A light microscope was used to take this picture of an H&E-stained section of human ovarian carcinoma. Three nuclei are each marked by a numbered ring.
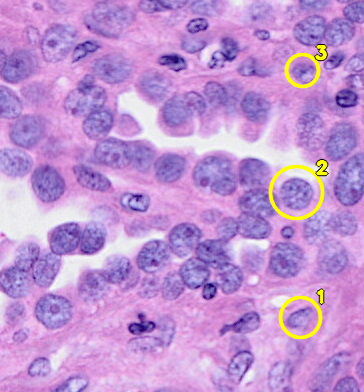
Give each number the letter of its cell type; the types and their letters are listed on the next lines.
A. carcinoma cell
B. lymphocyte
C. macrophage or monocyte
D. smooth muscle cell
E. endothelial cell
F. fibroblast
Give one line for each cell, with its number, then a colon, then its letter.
1: F
2: A
3: F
